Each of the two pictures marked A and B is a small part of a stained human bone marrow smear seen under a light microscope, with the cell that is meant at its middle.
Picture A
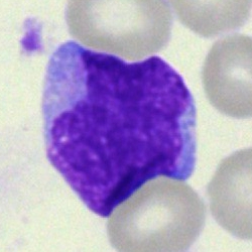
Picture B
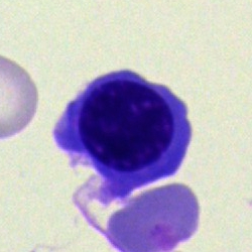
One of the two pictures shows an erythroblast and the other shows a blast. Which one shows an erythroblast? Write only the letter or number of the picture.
B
